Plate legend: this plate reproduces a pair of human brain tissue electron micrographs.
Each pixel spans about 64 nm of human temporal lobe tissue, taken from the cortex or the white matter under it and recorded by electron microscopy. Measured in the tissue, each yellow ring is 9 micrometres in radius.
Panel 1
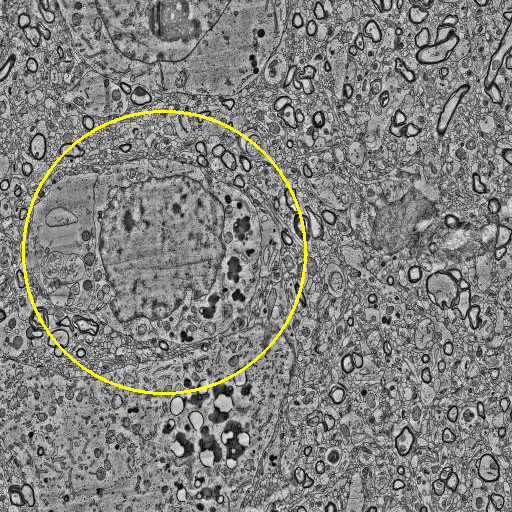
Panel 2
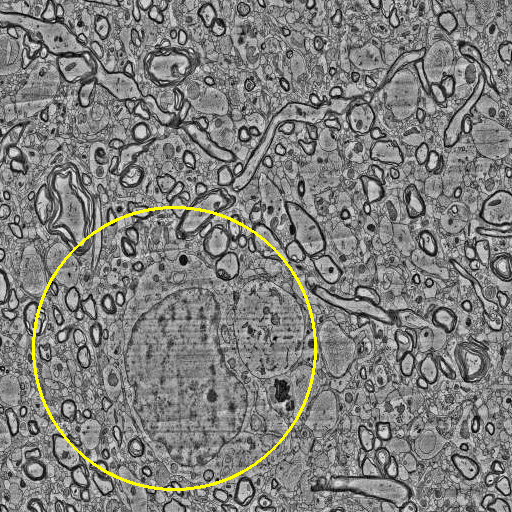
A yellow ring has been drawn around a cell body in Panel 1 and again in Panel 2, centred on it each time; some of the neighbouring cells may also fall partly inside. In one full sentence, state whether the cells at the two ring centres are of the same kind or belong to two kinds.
The ring-centred cells of Panel 1 and Panel 2 are of the same kind.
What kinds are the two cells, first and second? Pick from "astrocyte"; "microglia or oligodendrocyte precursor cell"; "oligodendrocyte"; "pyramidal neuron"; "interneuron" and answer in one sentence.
Each cell, in the first picture and the second, is an interneuron.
